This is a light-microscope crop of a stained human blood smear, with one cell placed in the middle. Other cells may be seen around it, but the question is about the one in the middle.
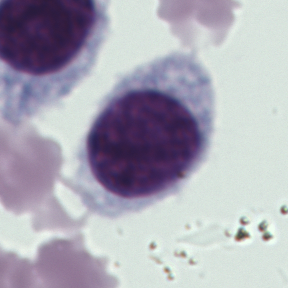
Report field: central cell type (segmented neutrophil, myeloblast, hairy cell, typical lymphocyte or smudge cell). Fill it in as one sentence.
This crop has a hairy cell at its centre.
